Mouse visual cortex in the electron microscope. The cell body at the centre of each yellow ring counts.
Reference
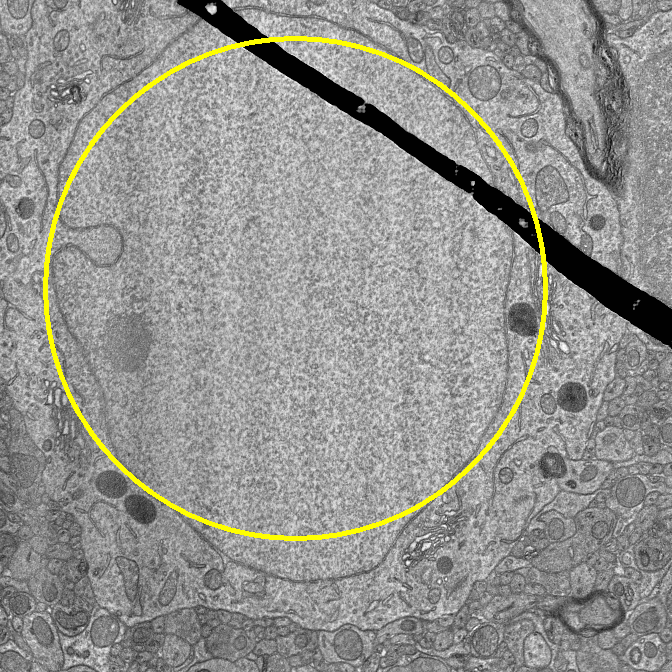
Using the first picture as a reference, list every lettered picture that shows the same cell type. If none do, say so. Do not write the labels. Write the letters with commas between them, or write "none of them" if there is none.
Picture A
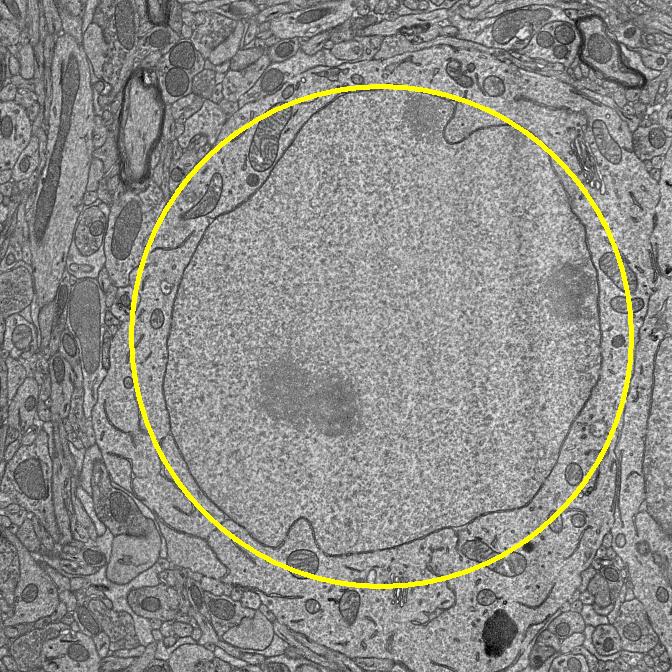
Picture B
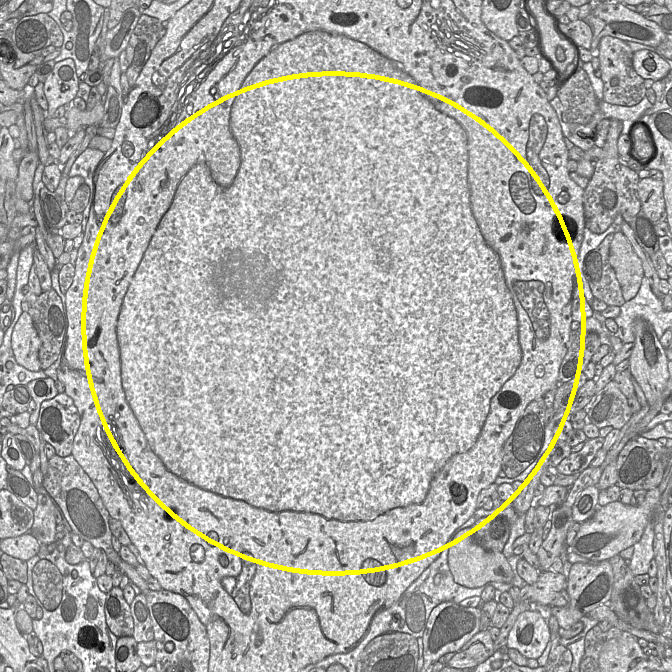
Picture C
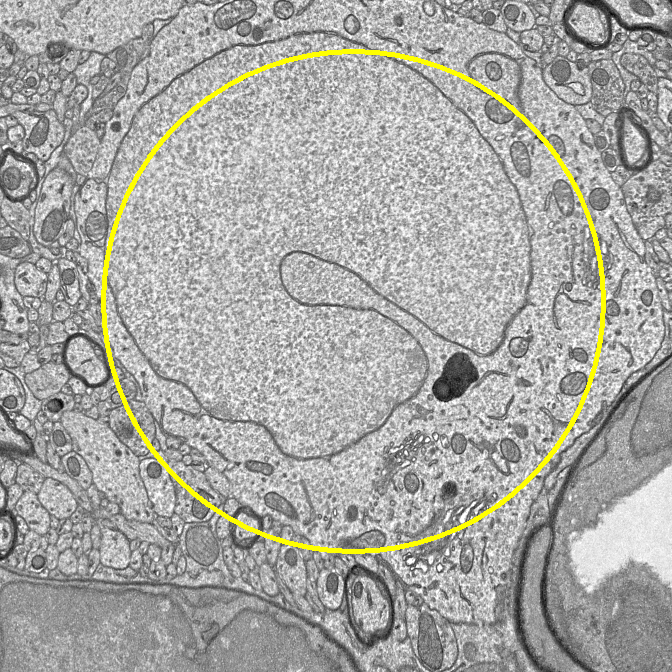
A, B, C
